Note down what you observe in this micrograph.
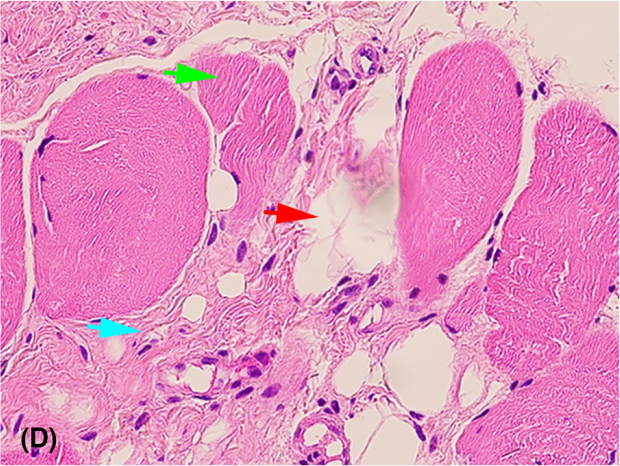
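Rounded pink skeletal muscle fibres in cross-section vary greatly in size, some large and some much smaller, separated by widened spaces. Between them lies pale pink fibrous tissue with scattered elongated nuclei and small vessels, alongside round clear empty spaces.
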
